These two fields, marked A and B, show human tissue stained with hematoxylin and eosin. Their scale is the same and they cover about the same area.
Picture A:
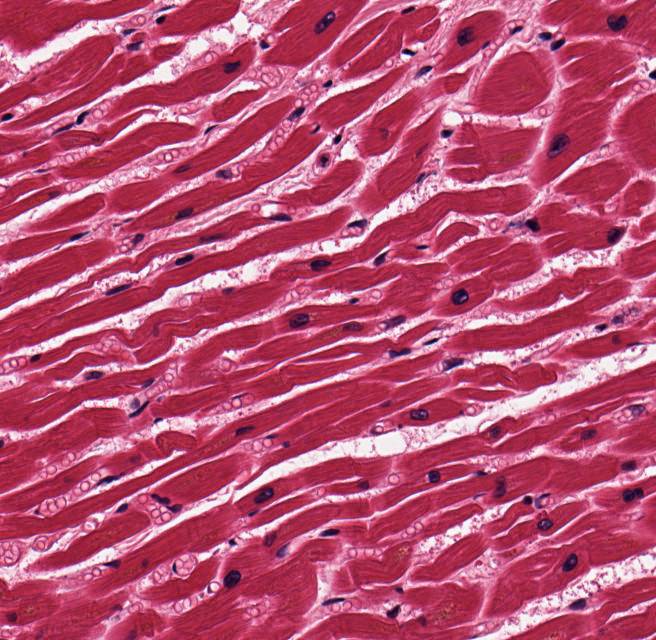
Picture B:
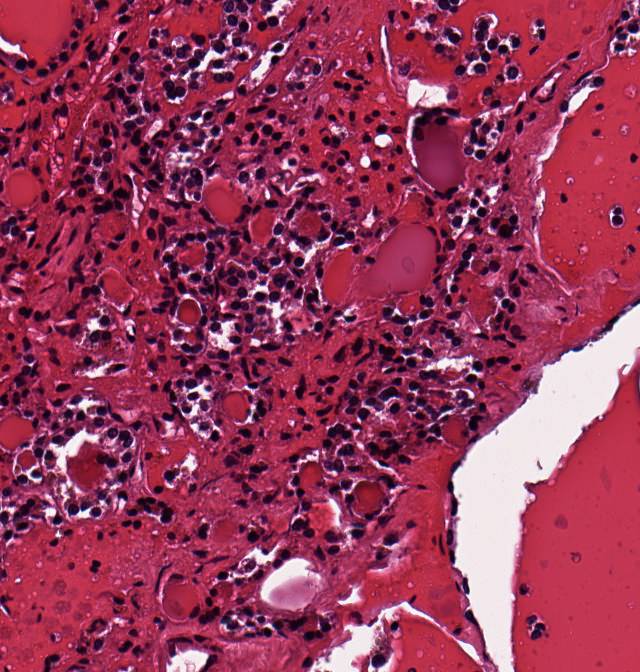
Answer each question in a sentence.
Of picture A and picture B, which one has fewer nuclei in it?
The smaller number of nuclei is in picture A.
